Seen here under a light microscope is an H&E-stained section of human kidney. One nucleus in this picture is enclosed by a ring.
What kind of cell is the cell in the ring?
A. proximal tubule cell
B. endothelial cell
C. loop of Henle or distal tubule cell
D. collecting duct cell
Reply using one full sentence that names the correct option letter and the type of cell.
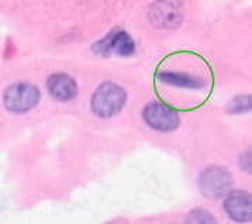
The correct option is B, and the cell in the ring is an endothelial cell.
